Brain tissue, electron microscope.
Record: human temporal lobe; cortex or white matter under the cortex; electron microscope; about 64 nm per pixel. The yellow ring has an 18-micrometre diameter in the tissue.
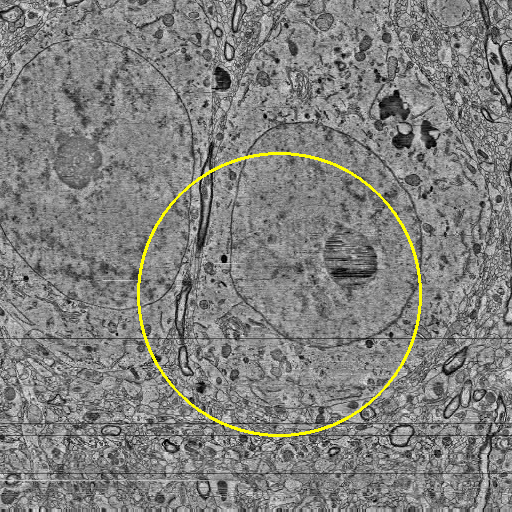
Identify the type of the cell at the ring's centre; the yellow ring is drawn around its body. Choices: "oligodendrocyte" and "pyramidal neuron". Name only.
pyramidal neuron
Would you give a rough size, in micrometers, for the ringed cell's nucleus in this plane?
Approximately 15 by 13 micrometers in this plane.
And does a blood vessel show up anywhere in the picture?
No, no blood vessel can be seen.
